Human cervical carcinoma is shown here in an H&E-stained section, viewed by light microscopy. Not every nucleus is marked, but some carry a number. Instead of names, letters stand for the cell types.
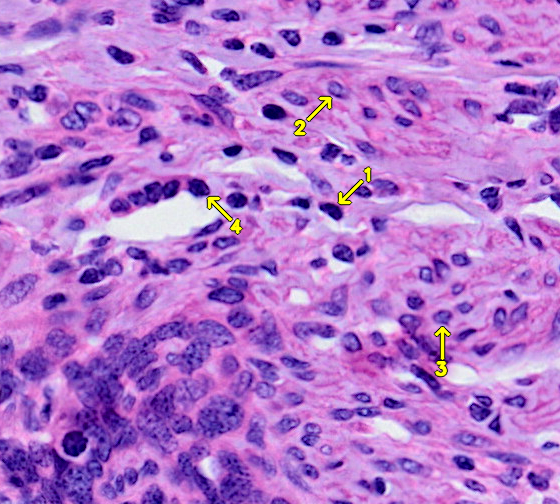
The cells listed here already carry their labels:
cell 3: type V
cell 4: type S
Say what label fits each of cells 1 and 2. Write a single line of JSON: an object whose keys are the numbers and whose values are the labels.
{"1": "type S", "2": "type V"}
